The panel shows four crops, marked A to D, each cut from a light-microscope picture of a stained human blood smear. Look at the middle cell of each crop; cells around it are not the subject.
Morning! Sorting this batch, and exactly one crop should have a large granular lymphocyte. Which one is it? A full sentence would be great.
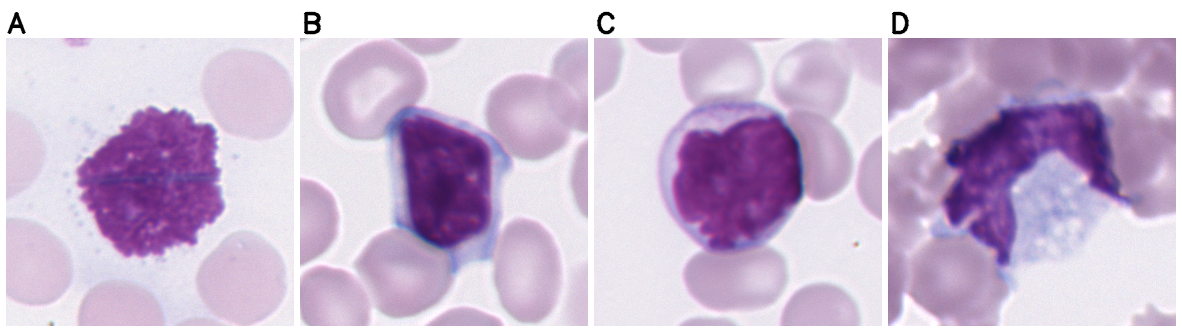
The crop marked C is the one that shows a large granular lymphocyte.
